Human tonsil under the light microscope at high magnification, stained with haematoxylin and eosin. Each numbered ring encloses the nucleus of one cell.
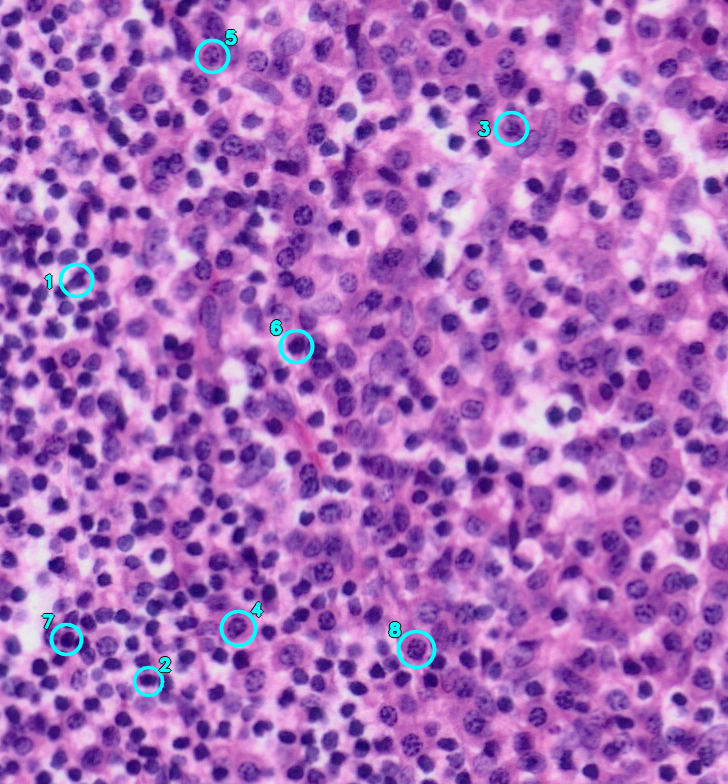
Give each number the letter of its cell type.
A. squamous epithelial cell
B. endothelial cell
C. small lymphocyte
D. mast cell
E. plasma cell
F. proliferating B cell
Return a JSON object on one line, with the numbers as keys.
{"1": "C", "2": "C", "3": "E", "4": "E", "5": "E", "6": "E", "7": "C", "8": "E"}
